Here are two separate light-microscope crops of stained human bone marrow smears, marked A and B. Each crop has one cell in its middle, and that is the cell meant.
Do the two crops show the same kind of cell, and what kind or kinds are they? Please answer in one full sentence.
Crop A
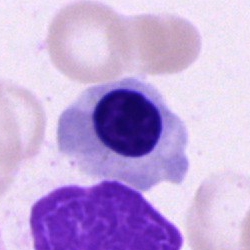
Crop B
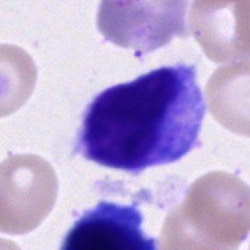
No, in fact crop A shows an erythroblast, and crop B shows a lymphocyte.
